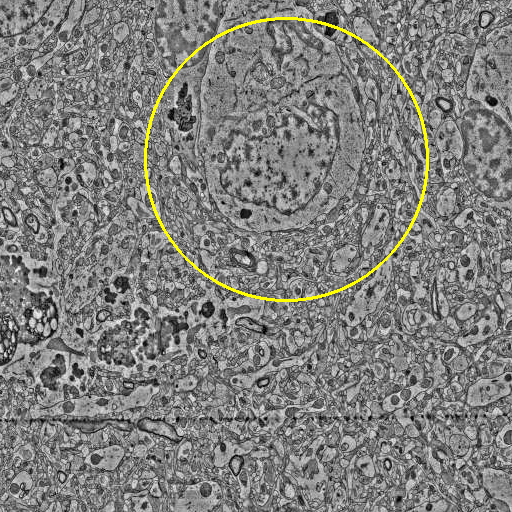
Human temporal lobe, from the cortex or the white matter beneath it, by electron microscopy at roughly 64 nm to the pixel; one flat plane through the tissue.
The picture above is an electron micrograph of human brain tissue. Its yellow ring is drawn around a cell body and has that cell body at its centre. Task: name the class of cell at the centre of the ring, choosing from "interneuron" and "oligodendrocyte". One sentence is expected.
The ring surrounds the body of an interneuron.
